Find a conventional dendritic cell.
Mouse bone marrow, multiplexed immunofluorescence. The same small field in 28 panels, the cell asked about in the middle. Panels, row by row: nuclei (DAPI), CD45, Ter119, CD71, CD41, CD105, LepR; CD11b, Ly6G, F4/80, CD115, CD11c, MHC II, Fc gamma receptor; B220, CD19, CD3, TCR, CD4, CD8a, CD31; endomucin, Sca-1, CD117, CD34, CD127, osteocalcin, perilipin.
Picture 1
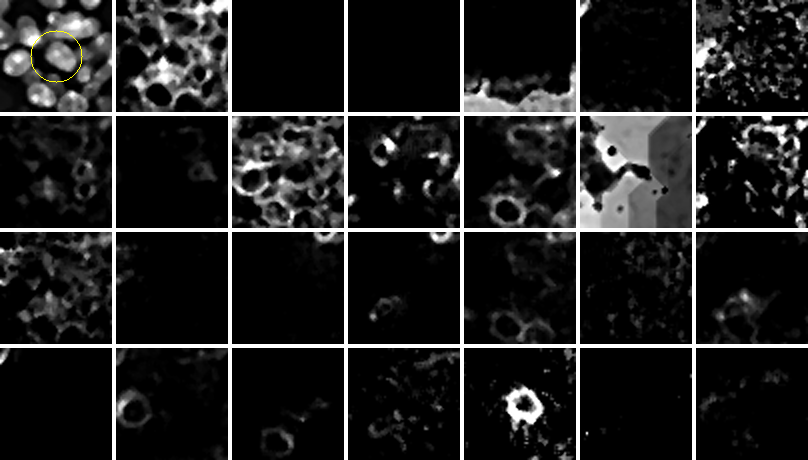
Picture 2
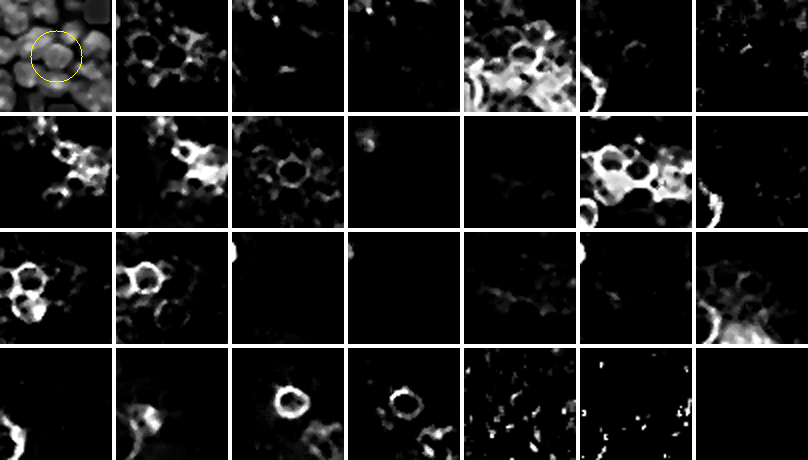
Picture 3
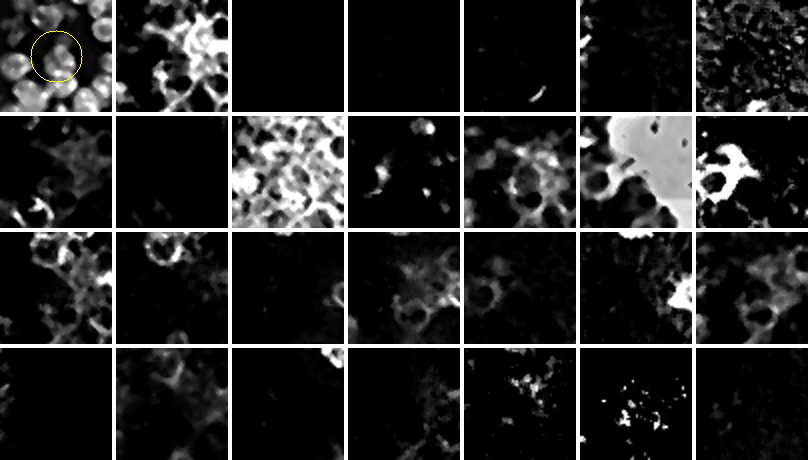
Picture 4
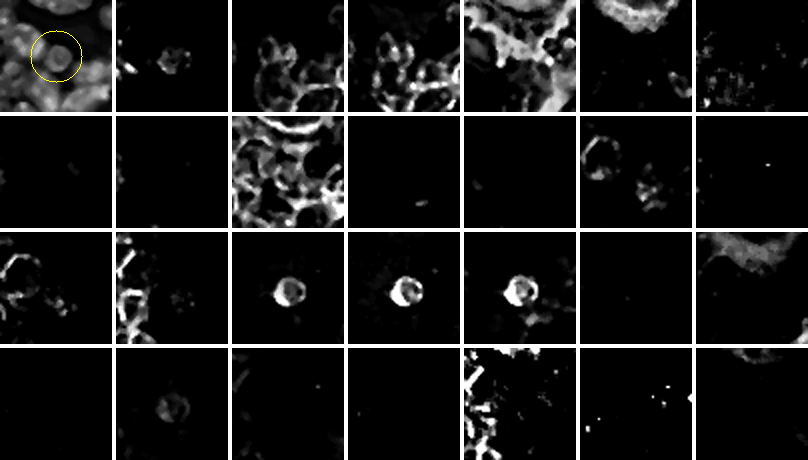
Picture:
3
